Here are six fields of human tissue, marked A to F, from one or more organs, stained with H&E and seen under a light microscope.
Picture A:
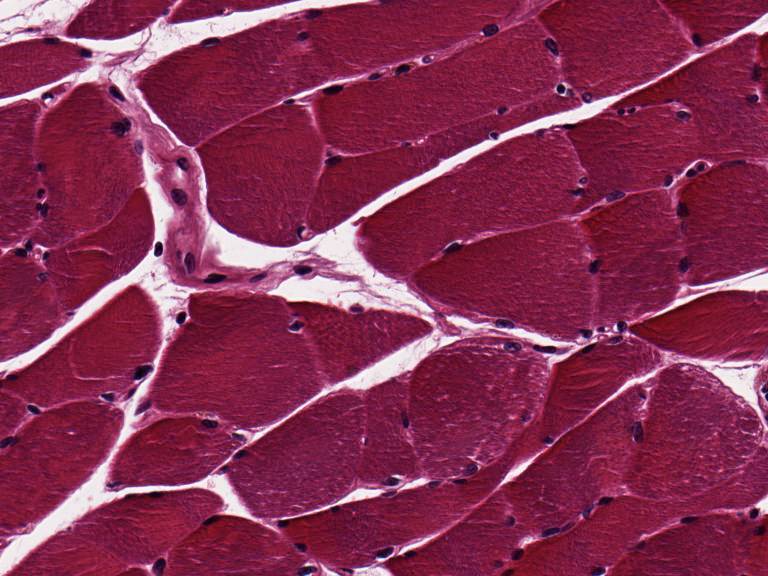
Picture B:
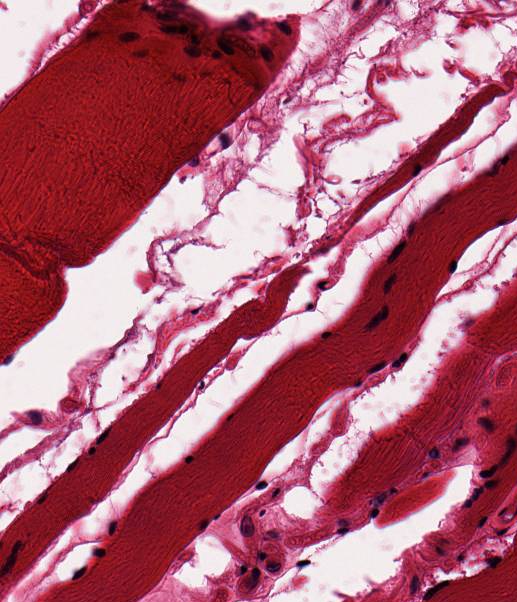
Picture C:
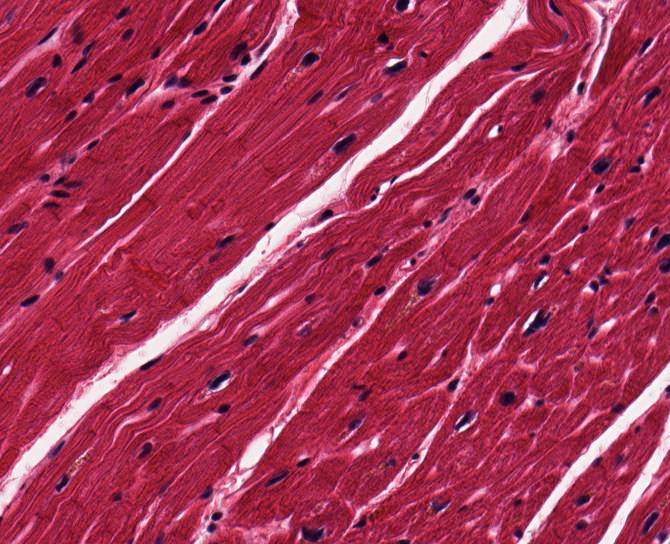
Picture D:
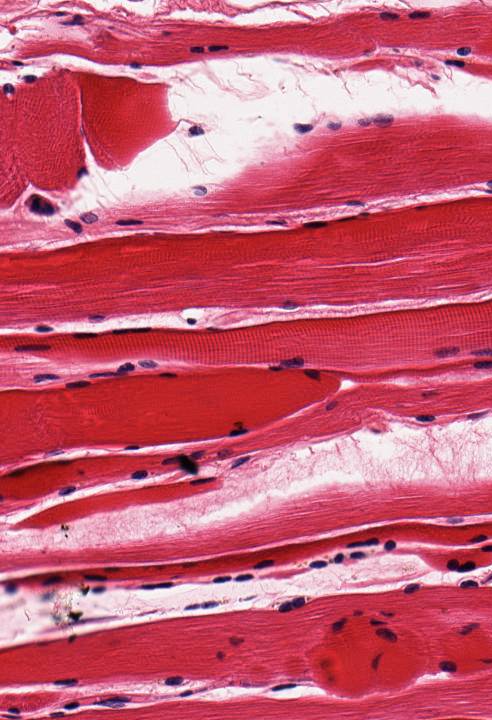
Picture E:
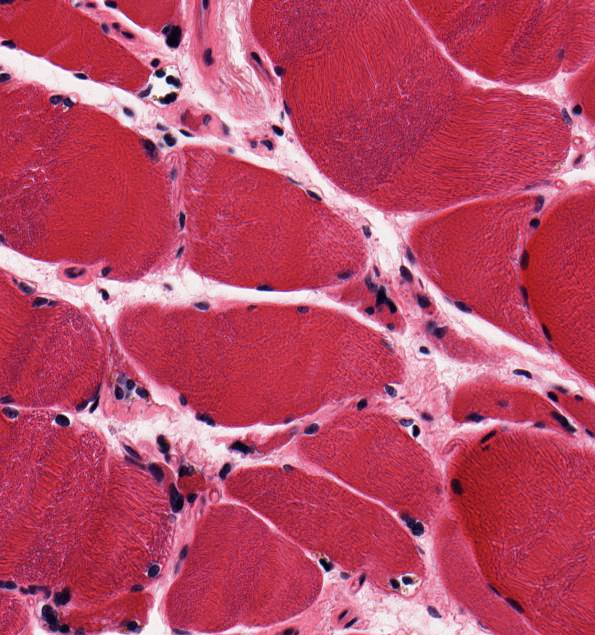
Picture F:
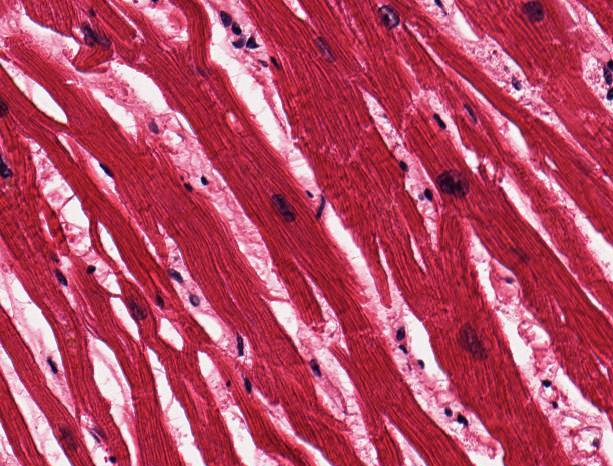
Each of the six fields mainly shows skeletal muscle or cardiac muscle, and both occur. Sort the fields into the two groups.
A: skeletal muscle
B: skeletal muscle
C: cardiac muscle
D: skeletal muscle
E: skeletal muscle
F: cardiac muscle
